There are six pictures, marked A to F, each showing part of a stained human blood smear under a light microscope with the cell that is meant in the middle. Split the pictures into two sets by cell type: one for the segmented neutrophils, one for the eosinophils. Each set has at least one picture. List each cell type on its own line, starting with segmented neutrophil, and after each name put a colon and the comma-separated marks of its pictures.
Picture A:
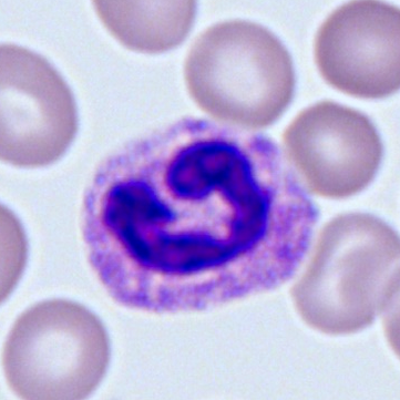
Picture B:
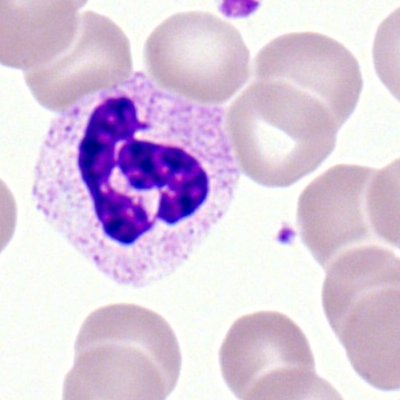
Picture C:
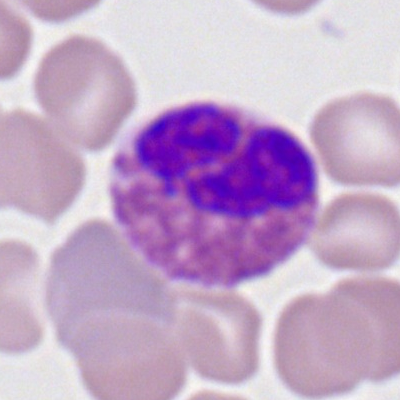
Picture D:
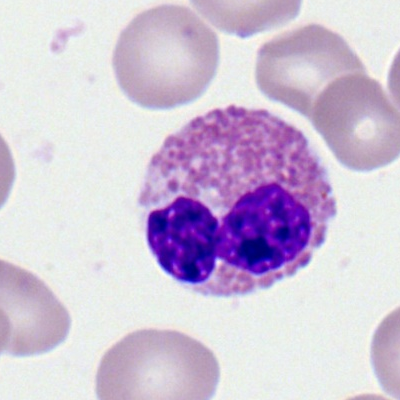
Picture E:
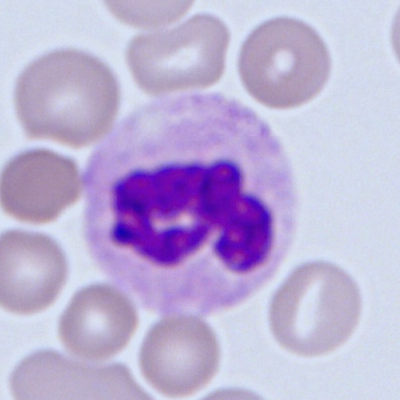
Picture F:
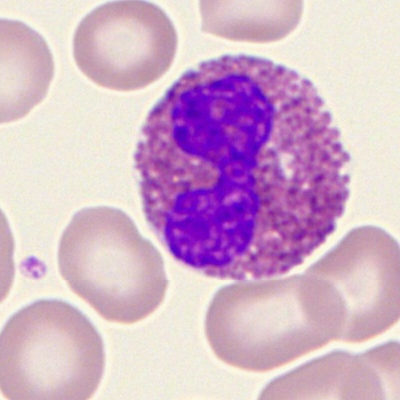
segmented neutrophil: A, B, E
eosinophil: C, D, F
